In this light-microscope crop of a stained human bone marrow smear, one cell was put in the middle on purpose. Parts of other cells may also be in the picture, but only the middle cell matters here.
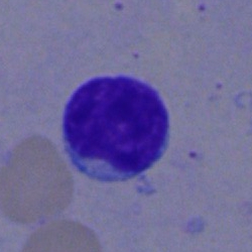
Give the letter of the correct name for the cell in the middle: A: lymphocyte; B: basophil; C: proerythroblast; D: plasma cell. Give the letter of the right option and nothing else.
A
